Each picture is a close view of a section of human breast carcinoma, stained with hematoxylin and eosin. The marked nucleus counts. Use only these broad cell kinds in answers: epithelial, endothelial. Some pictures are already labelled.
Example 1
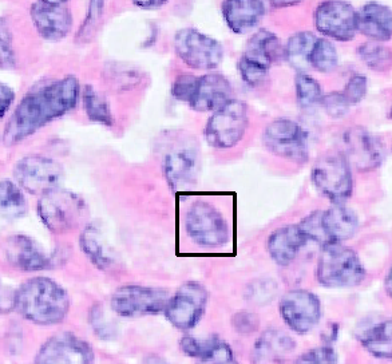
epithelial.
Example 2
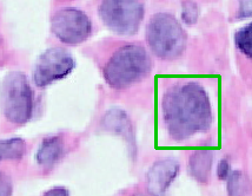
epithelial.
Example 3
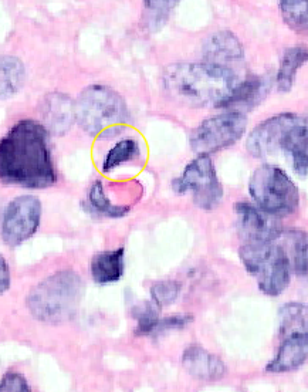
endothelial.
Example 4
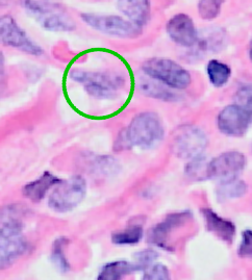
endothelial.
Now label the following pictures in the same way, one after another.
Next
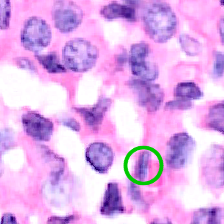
endothelial.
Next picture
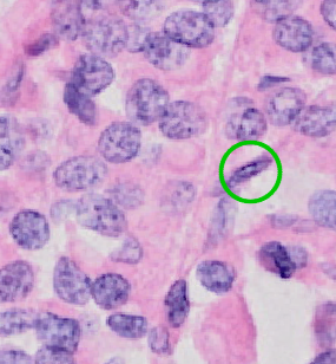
endothelial.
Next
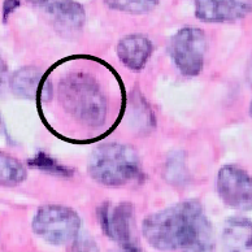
epithelial.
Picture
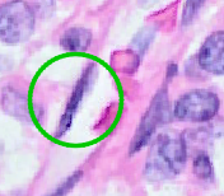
endothelial.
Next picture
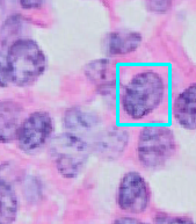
epithelial.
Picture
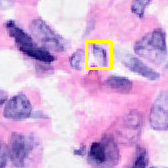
endothelial.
